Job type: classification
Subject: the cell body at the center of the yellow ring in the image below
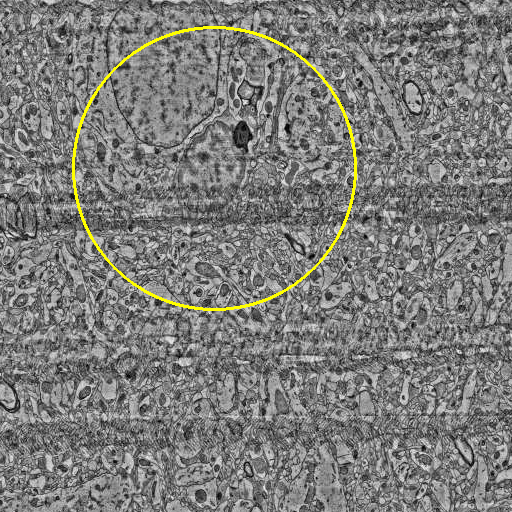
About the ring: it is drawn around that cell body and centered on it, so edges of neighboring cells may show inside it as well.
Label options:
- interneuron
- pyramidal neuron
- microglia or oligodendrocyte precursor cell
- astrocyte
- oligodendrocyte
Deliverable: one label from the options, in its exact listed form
oligodendrocyte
